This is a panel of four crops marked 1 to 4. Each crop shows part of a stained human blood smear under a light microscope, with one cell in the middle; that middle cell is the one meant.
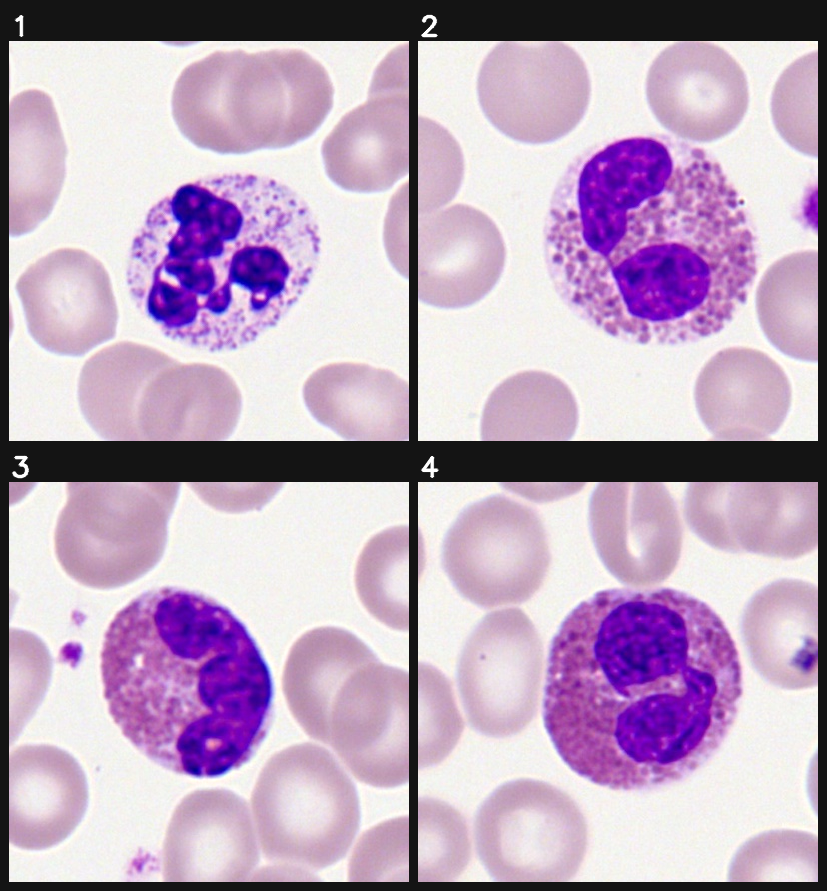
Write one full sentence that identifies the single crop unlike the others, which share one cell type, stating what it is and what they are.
The exception is crop 1: it is a segmented neutrophil, and the others are all eosinophils.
